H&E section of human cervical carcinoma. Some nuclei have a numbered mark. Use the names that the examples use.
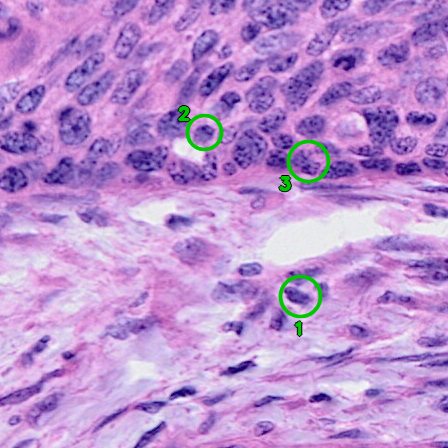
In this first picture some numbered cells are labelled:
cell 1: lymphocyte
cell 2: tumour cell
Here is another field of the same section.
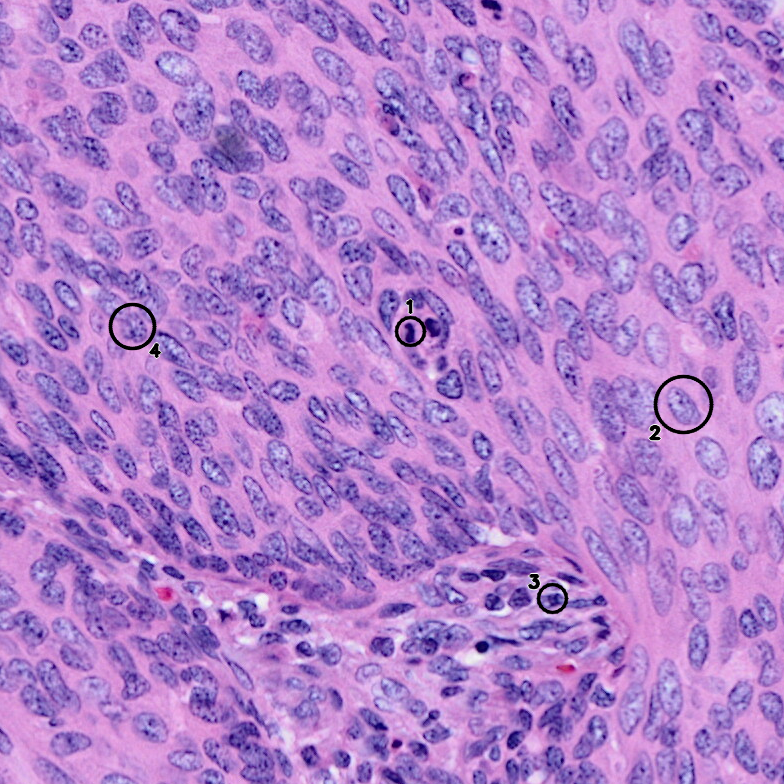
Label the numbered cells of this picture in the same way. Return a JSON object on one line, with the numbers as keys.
{"1": "tumour cell", "2": "tumour cell", "3": "lymphocyte", "4": "tumour cell"}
